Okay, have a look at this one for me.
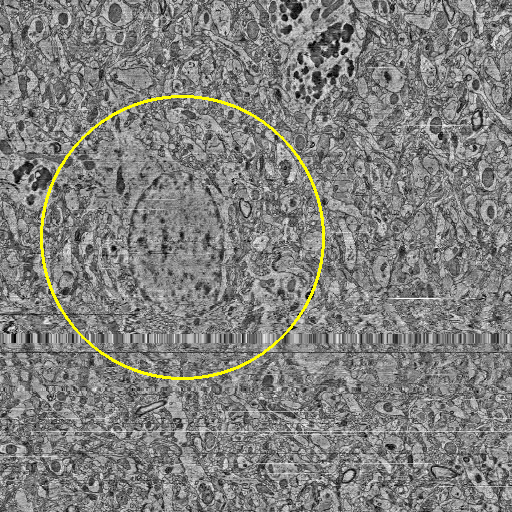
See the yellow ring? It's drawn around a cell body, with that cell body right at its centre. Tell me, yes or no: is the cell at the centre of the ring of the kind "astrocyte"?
Yes, it is of that kind.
